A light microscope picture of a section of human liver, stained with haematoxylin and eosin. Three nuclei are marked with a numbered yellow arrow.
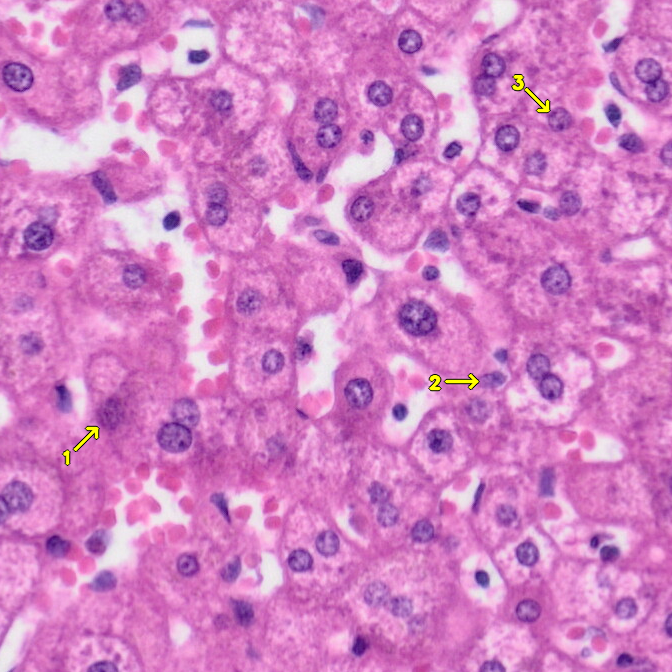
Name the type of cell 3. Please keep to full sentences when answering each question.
The cell given label 3 is a hepatocyte.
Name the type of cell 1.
The cell that goes by number 1 is a hepatocyte.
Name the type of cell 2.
The nucleus labeled 2 belongs to a Kupffer cell.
